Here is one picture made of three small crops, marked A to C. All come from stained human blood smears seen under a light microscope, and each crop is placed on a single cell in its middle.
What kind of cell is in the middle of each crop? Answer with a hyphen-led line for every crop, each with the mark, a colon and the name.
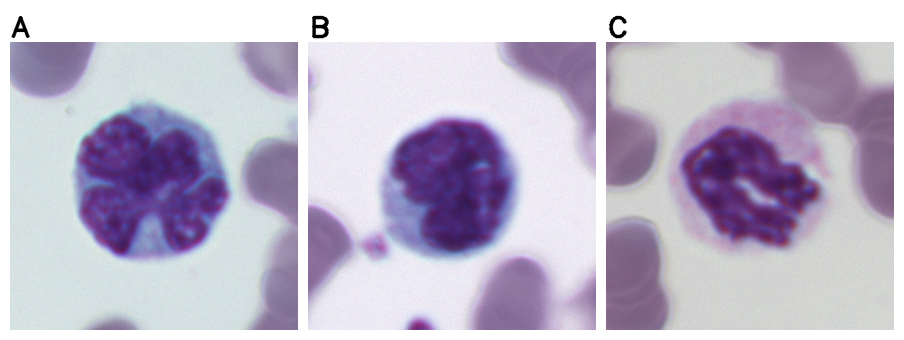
- A: monocyte
- B: monocyte
- C: segmented neutrophil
